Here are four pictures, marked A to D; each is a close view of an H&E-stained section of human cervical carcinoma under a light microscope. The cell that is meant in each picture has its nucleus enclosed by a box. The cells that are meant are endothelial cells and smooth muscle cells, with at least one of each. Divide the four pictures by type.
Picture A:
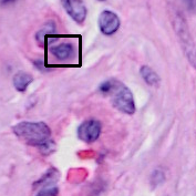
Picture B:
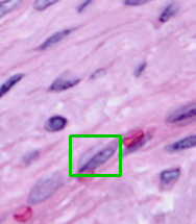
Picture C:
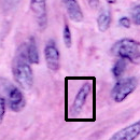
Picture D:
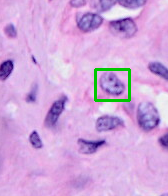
A: endothelial cell
B: endothelial cell
C: smooth muscle cell
D: endothelial cell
